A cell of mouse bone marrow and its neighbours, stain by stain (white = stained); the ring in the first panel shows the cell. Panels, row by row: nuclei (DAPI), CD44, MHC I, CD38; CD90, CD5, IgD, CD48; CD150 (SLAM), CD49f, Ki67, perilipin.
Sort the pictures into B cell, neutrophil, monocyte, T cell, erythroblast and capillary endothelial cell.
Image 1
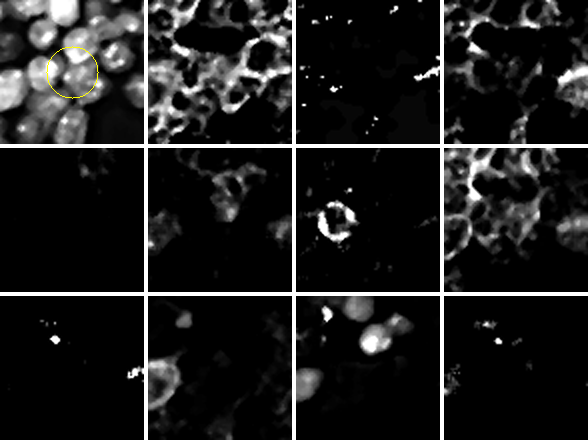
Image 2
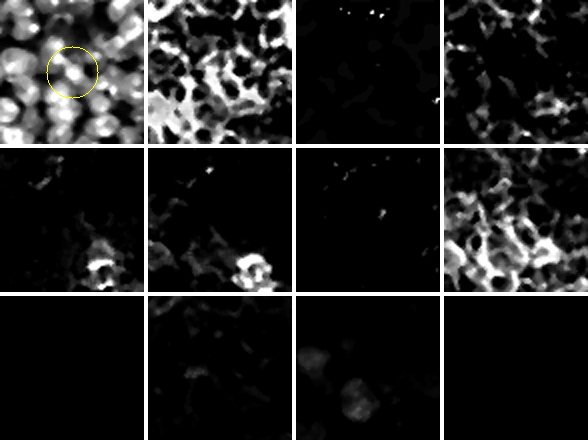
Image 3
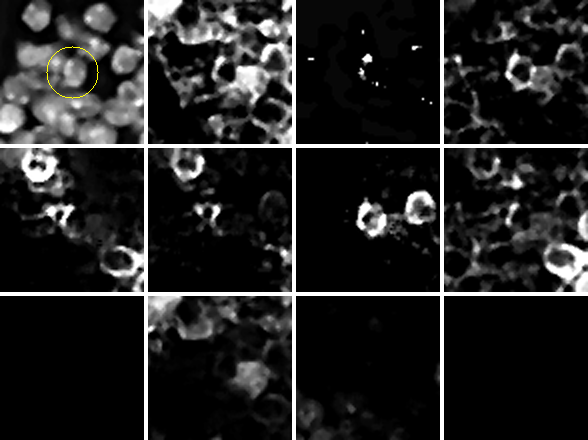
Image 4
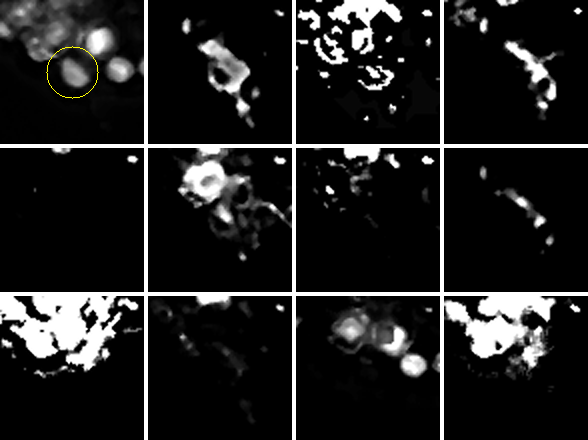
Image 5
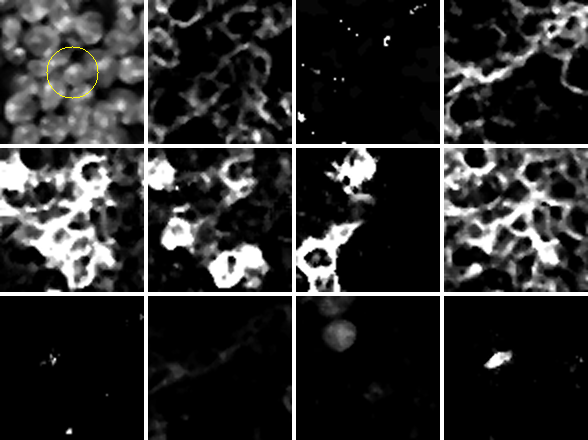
Monocytes: 1, 4
Neutrophils: 2
B cells: 3
Capillary endothelial cells: 5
